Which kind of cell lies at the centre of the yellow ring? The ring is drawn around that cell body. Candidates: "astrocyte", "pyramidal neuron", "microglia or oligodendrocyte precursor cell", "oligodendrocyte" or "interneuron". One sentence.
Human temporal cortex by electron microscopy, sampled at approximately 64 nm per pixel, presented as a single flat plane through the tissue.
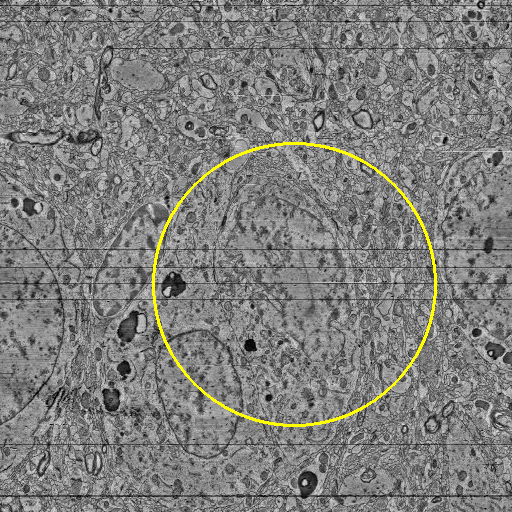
Lying at the centre of the ring is an interneuron.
